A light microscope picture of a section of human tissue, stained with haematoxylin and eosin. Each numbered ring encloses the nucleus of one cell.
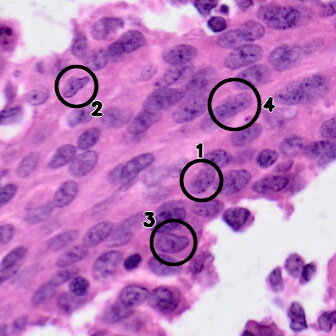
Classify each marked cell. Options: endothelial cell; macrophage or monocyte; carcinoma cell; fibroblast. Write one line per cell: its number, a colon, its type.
1: carcinoma cell
2: macrophage or monocyte
3: carcinoma cell
4: carcinoma cell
